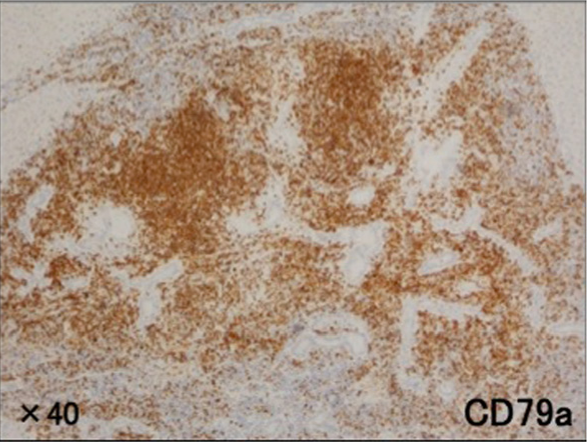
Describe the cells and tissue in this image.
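This low-power view shows tissue densely filled with small lymphocytes, most of which are stained brown. The stained cells form broad, diffuse sheets, with a couple of denser, darker brown nodular areas in the upper middle of the field. Between the sheets run pale, mostly unstained channels and irregular spaces, some elongated, that break up the cell masses. Along the lower edge and in places at the periphery the tissue looks paler and more bluish, with fewer brown cells.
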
